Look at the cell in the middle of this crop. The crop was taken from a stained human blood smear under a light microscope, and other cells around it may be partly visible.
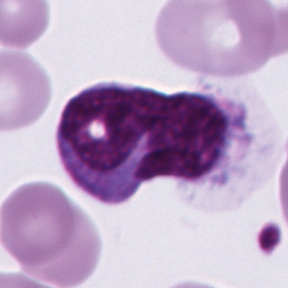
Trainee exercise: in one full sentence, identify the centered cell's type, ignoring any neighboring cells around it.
This particular crop is centered on a monocyte.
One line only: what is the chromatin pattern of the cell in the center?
Chromatin in the nucleus here is coarsely clumped.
